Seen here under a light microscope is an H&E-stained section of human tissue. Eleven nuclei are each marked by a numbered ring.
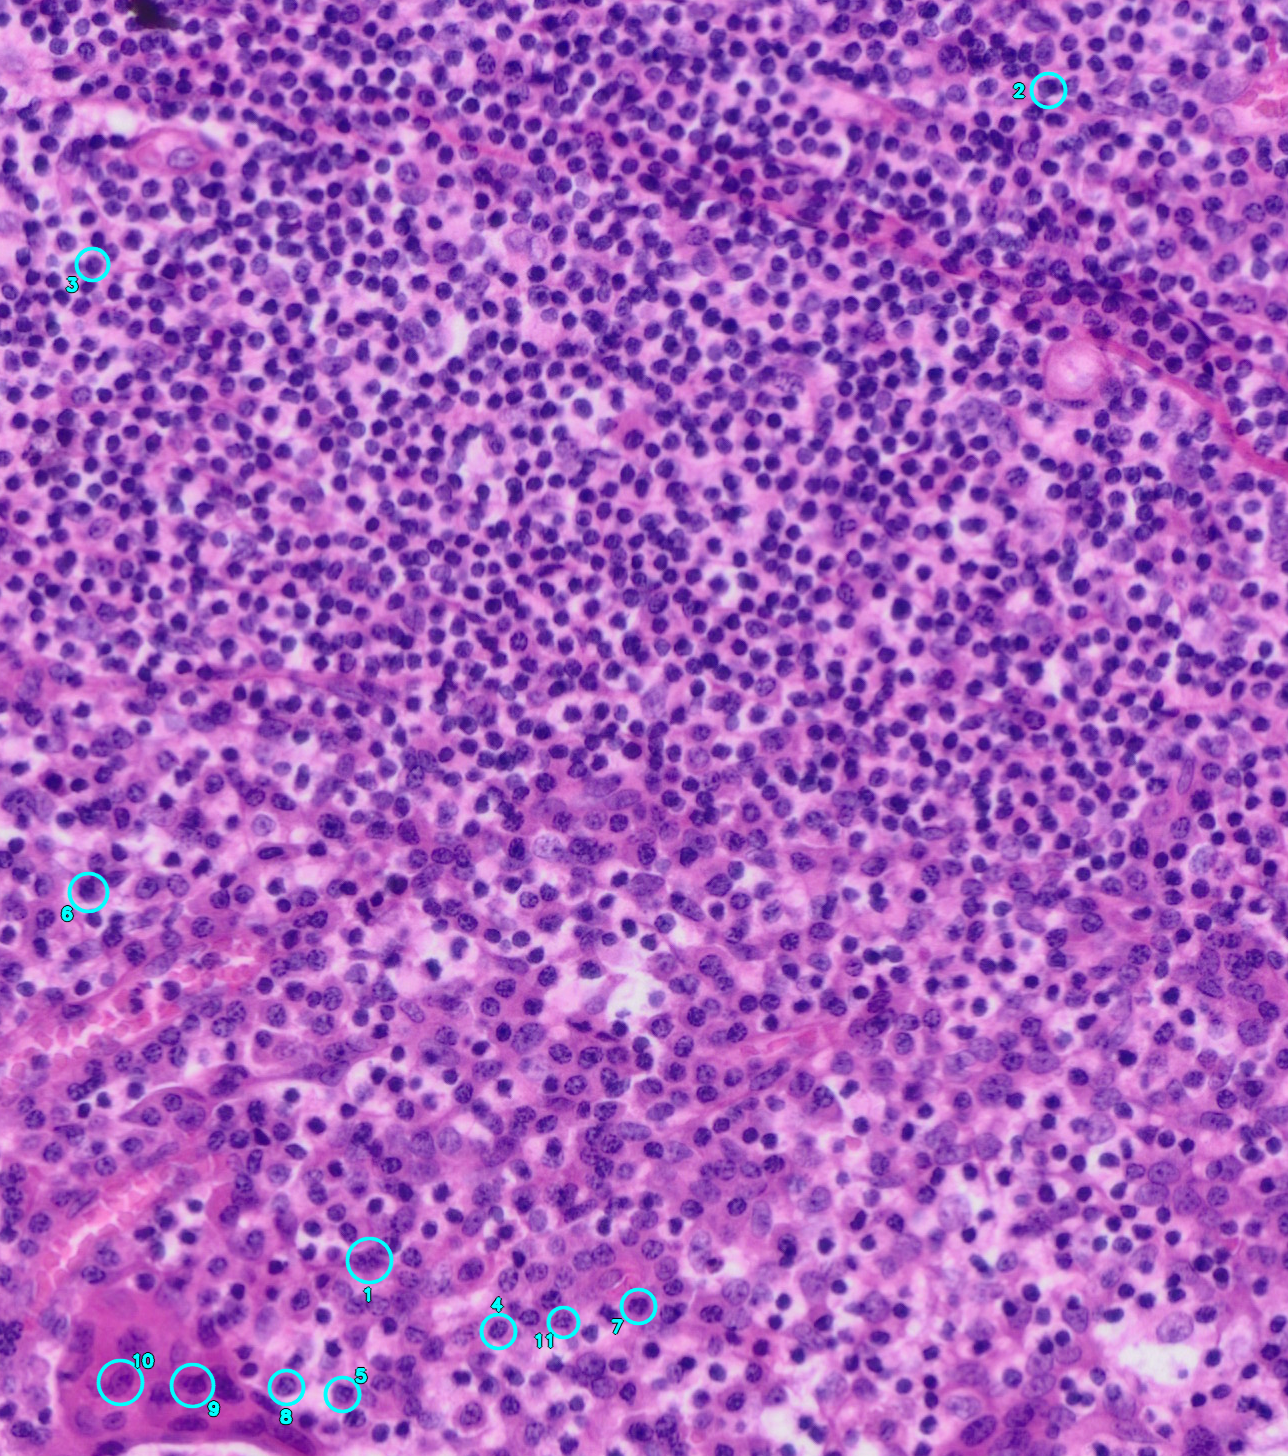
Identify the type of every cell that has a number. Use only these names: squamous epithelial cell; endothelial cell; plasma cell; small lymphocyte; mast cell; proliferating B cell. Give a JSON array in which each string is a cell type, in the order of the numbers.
["squamous epithelial cell", "small lymphocyte", "small lymphocyte", "plasma cell", "plasma cell", "plasma cell", "plasma cell", "plasma cell", "squamous epithelial cell", "squamous epithelial cell", "plasma cell"]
